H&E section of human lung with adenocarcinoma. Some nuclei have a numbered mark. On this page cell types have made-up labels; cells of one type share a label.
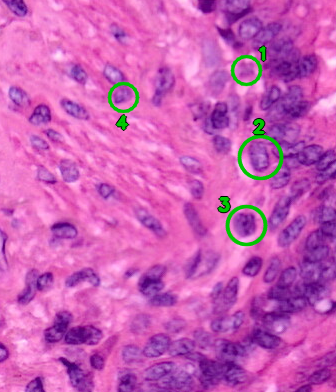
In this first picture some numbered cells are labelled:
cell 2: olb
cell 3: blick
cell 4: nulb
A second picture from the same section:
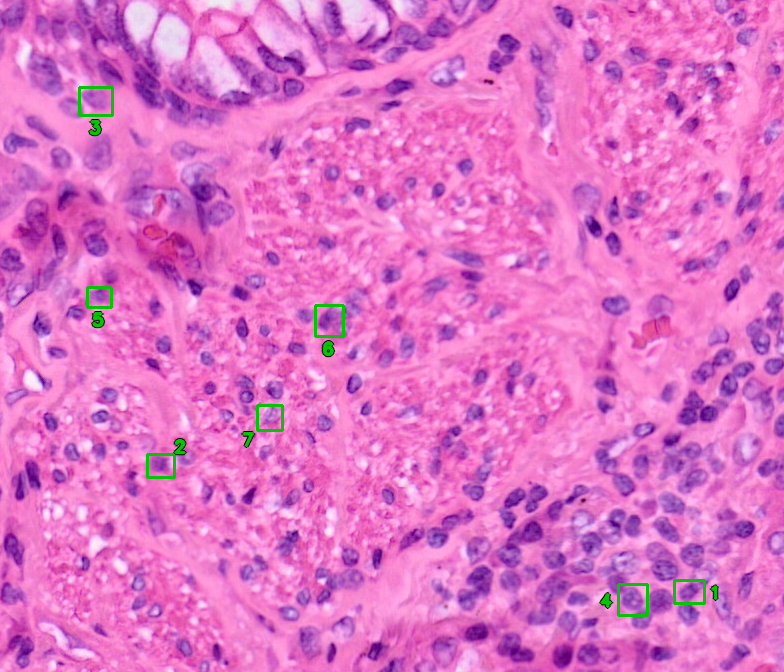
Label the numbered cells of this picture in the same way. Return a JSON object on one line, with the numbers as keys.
{"1": "blick", "2": "nulb", "3": "olb", "4": "blick", "5": "nulb", "6": "nulb", "7": "nulb"}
